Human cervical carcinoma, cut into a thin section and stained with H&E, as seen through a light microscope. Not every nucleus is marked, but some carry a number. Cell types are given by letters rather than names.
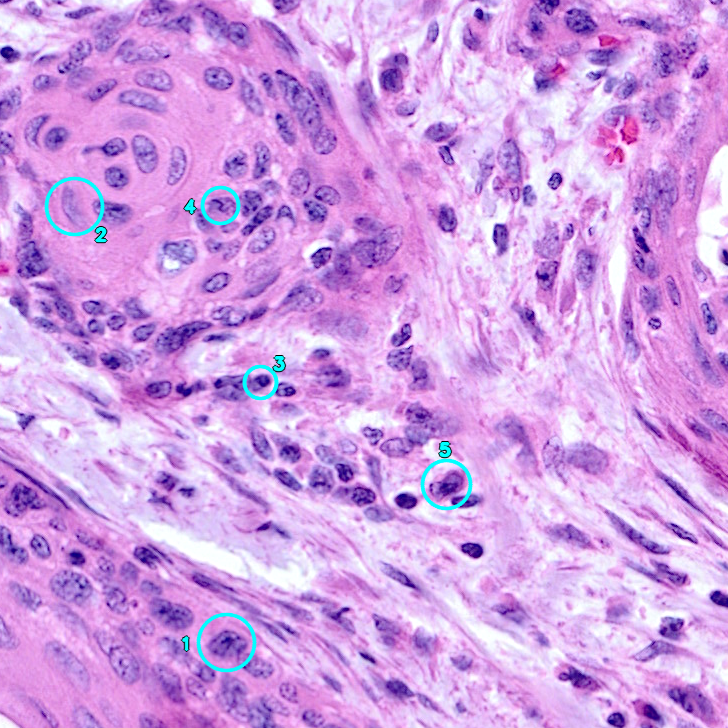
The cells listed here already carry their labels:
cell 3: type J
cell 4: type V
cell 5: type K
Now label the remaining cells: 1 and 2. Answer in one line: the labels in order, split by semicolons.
type V; type V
